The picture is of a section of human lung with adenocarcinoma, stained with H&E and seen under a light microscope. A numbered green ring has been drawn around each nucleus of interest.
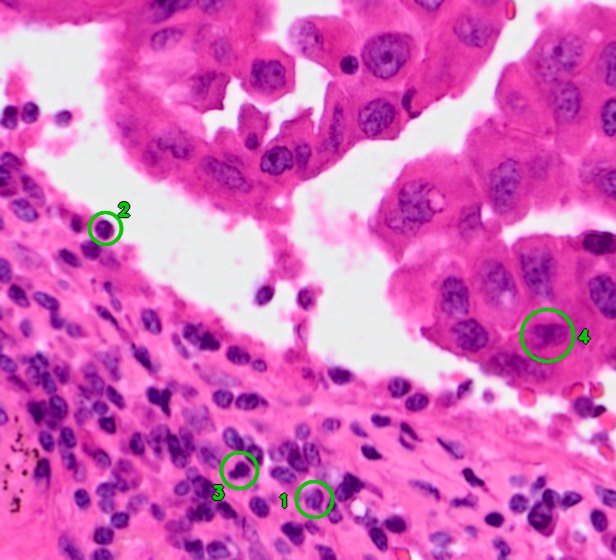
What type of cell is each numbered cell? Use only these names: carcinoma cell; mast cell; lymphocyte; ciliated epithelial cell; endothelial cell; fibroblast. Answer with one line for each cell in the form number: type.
1: lymphocyte
2: lymphocyte
3: lymphocyte
4: carcinoma cell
